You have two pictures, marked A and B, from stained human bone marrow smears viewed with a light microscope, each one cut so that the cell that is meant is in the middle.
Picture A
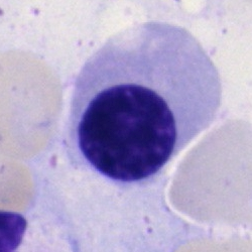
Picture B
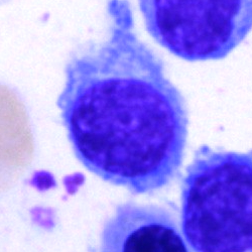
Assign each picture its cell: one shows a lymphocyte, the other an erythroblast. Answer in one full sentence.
The cell in picture A is an erythroblast, and the one in picture B is a lymphocyte.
